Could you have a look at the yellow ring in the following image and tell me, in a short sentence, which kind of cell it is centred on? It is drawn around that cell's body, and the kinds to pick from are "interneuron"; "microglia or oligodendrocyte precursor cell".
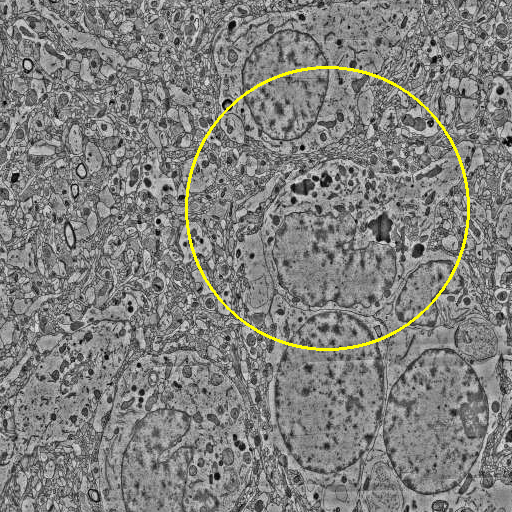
The ring is centred on the body of an interneuron.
